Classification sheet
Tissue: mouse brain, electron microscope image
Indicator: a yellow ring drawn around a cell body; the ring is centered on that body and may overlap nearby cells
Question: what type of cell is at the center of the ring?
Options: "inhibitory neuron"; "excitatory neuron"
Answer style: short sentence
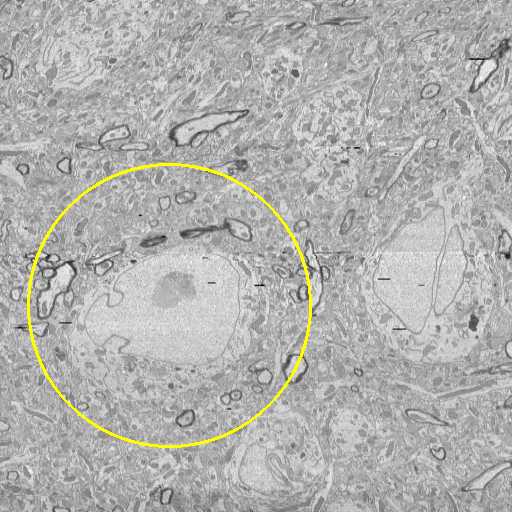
At the ring's center is an excitatory neuron.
